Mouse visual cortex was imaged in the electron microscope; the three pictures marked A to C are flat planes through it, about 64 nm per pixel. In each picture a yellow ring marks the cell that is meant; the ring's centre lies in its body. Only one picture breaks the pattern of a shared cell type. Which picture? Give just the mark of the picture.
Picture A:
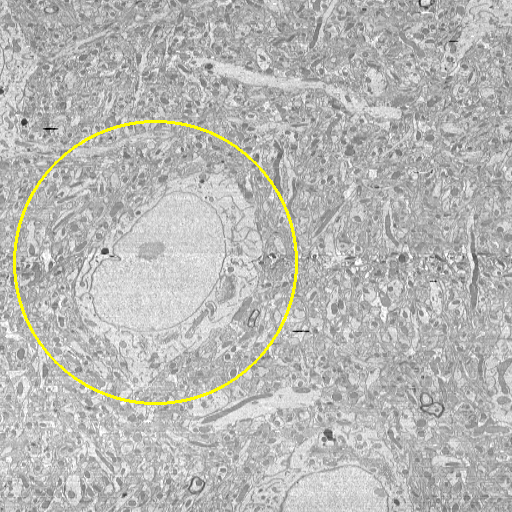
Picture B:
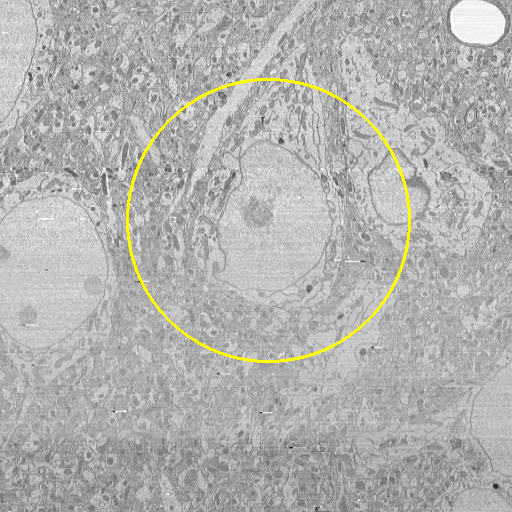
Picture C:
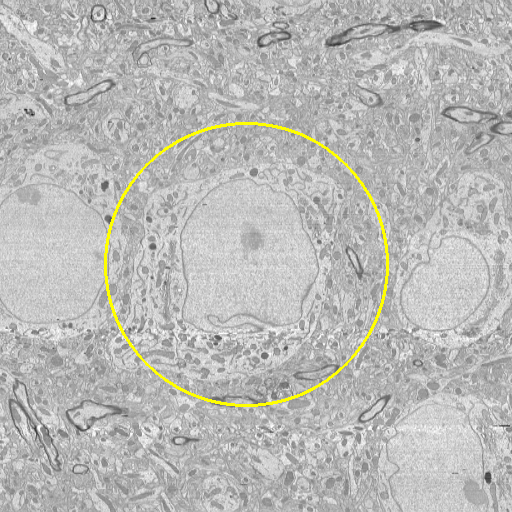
A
